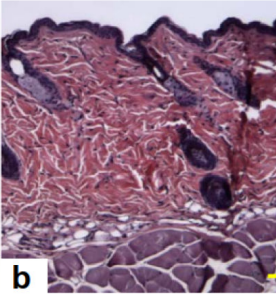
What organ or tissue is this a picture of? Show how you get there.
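A thin, dark cellular layer lines the top surface. Dark follicle structures lie within a dense red fibrous layer. Muscle fibres cut in cross-section lie at the bottom. On this evidence: skin.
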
